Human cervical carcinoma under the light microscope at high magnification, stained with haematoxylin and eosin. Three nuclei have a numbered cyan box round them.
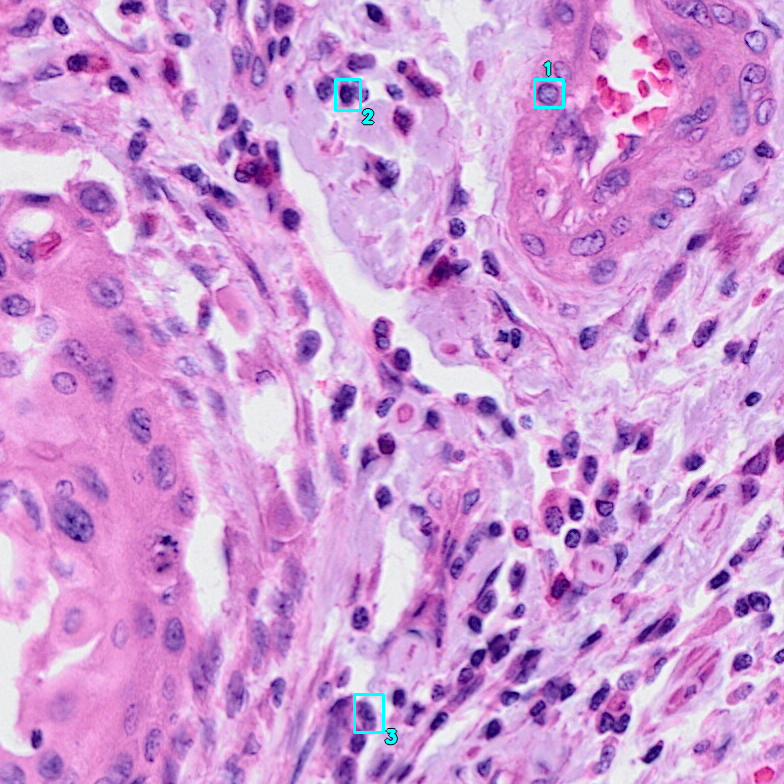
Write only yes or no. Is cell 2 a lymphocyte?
yes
